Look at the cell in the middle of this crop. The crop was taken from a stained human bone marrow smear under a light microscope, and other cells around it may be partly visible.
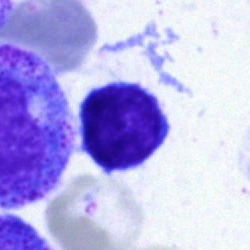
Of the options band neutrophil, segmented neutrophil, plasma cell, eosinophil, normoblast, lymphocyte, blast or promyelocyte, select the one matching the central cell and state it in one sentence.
The cell in the middle of the field of view is a lymphocyte.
